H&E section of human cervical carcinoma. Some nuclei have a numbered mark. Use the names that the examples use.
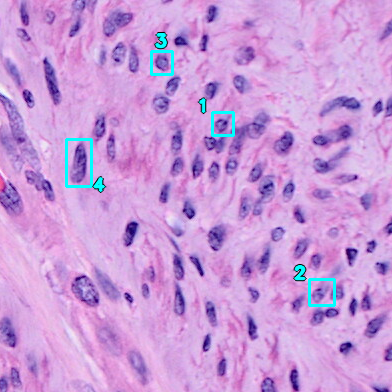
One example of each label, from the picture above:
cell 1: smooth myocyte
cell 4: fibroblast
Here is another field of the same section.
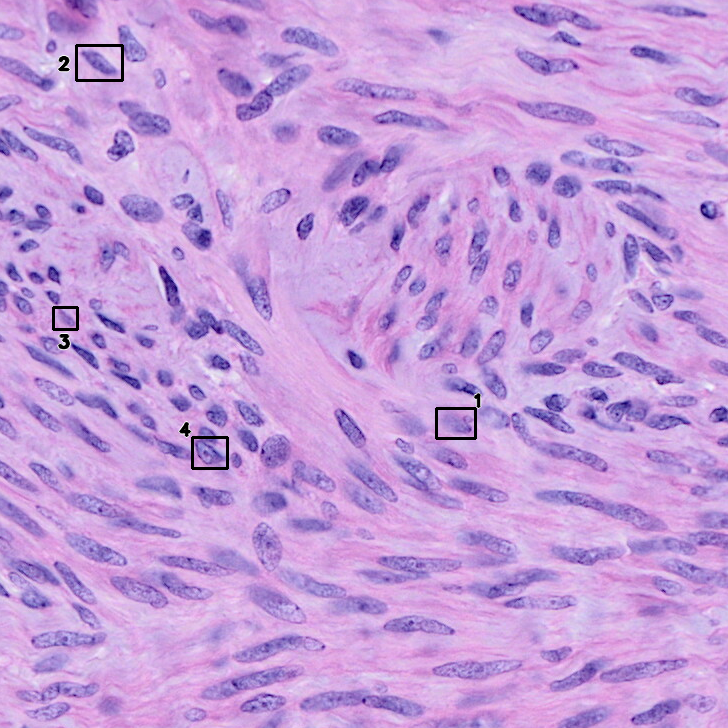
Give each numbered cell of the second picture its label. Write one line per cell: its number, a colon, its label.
1: smooth myocyte
2: fibroblast
3: smooth myocyte
4: smooth myocyte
